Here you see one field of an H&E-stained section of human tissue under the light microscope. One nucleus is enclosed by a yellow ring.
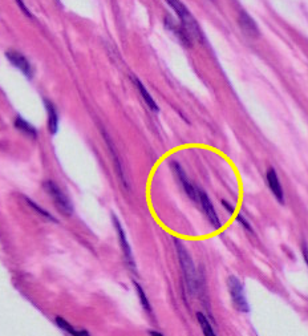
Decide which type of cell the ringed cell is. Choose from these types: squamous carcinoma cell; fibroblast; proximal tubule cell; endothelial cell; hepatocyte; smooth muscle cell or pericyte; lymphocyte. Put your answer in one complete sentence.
Placed in its cell category, the ringed cell is a fibroblast.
